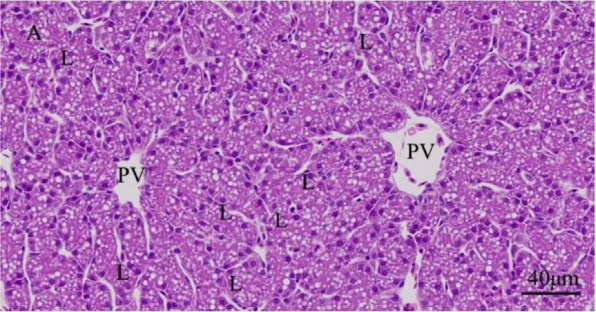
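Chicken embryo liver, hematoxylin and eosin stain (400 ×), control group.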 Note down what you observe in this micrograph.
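The hepatocytes have round, centrally placed dark purple nuclei and pink cytoplasm crowded with many small clear round vacuoles, the lipid droplets. Narrow clear sinusoidal spaces separate the cords of cells. Two larger vessels with clear lumens lie in the field, one holding a few red blood cells. The tissue architecture is orderly and the cells are uniform.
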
